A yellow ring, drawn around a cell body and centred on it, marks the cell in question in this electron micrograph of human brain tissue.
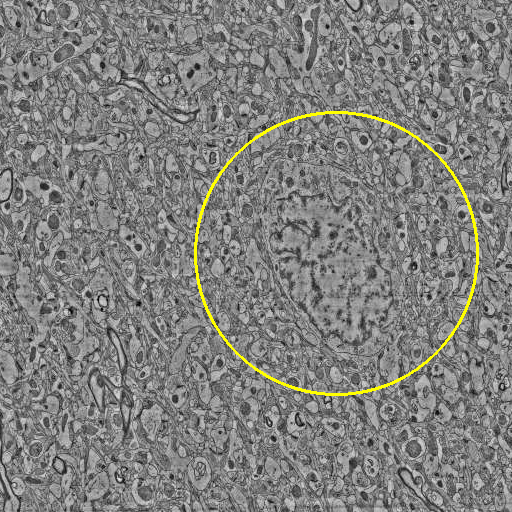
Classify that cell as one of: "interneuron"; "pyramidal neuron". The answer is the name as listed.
interneuron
